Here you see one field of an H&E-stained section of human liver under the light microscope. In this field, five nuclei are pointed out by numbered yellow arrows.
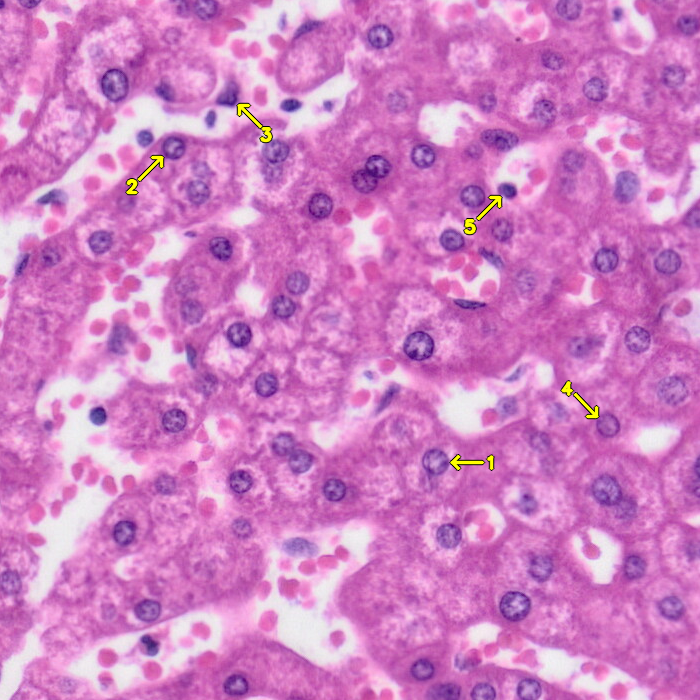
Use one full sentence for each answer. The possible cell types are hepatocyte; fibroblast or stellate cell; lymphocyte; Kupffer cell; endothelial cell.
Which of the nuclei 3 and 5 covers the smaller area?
With nucleus 3 about 2 times its size, nucleus 5 is the smaller of the two.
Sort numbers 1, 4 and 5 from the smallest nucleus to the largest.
By area, going up from the smallest, they rank 5, 4, 1.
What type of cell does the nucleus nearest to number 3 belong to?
Number 3 lies closest to the nucleus of a lymphocyte.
